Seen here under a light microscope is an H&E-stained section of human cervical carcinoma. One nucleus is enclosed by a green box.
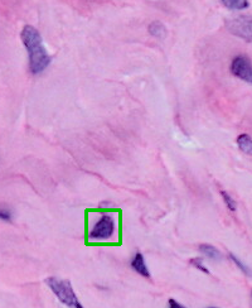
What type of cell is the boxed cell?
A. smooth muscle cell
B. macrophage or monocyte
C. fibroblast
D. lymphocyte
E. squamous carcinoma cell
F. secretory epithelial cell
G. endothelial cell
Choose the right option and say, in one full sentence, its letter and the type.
The correct identification, the boxed cell as a fibroblast, is given by option C.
